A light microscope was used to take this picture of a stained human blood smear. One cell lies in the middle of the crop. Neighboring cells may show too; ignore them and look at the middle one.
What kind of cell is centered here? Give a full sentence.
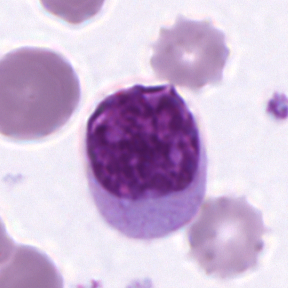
The center cell of this crop is a plasma cell.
